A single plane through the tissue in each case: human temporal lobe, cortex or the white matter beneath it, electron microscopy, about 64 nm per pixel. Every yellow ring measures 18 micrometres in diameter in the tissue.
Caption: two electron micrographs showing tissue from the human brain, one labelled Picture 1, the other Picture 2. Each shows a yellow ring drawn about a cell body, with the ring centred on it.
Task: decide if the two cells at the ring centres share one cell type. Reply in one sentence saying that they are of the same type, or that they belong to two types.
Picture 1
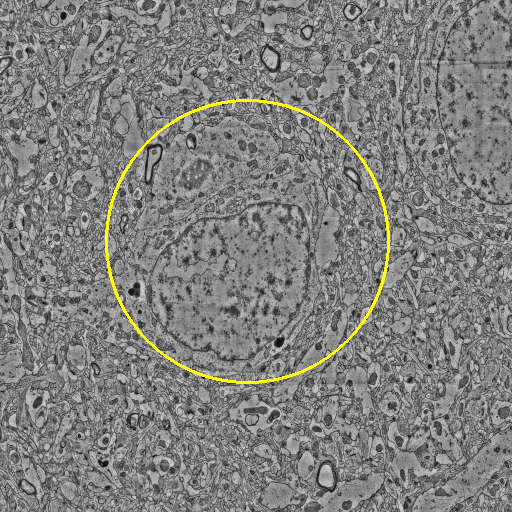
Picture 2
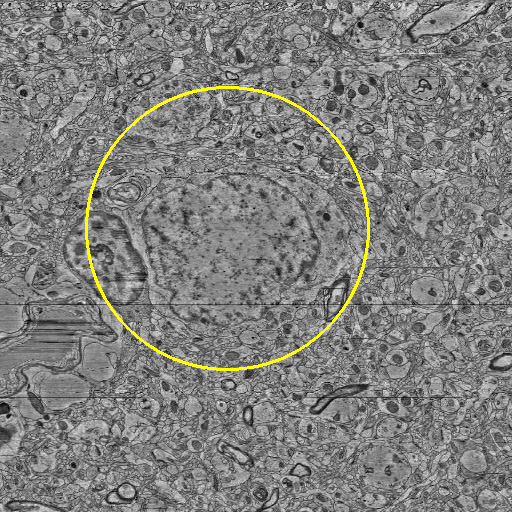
The cells at the ring centres in Picture 1 and Picture 2 are of the same type.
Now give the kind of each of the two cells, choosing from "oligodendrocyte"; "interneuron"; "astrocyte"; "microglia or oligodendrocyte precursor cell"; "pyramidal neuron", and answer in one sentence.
Each cell at the centre of a ring is an interneuron.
